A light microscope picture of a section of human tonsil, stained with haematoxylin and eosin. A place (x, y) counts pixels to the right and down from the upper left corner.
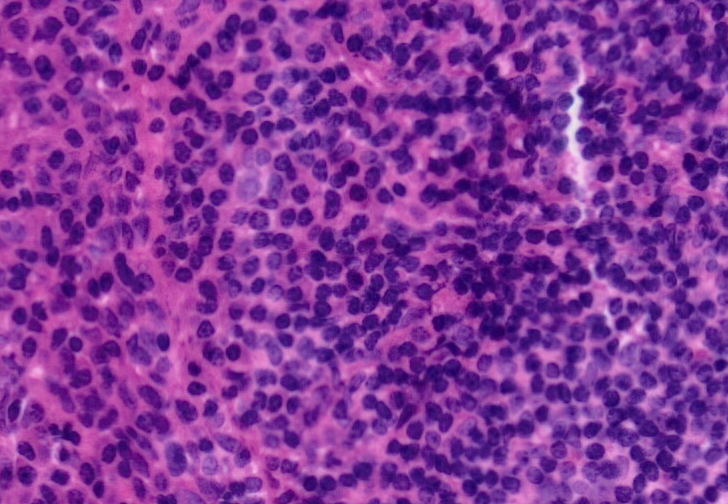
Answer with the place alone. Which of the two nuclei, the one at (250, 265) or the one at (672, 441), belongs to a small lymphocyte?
(672, 441)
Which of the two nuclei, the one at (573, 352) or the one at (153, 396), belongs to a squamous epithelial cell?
(153, 396)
